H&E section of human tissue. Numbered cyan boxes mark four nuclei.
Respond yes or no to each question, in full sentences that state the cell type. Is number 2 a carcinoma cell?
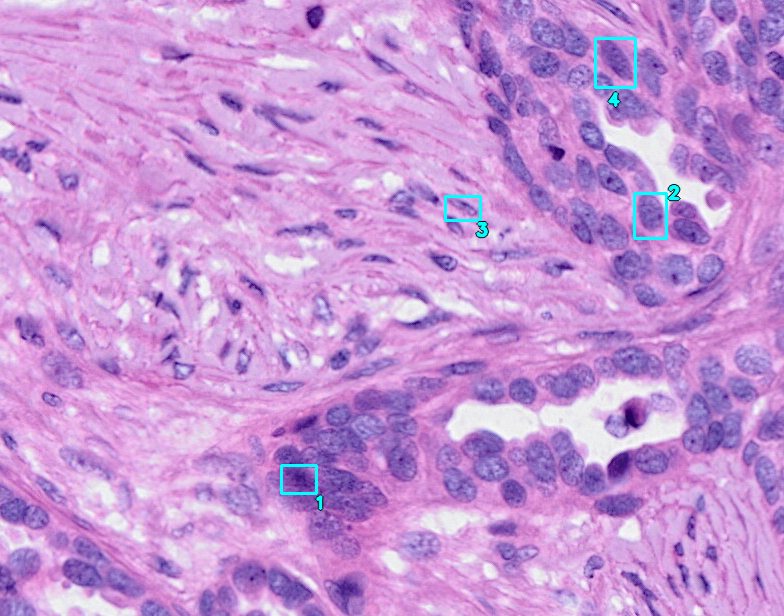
Yes, the cell with number 2 is a carcinoma cell.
